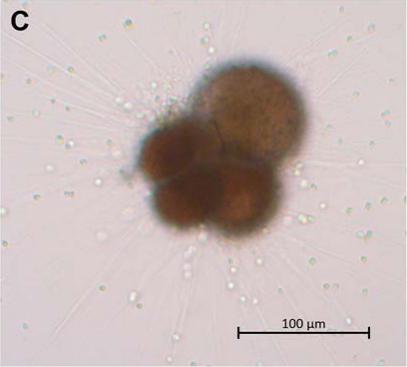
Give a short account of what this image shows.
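A single foraminifer with a shell of several rounded chambers is shown, the chambers increasing in size and filled with dense brown-orange cytoplasm. Numerous fine, straight threads of the rhizopodial network radiate outward from the shell across the pale background. Small round particles lie scattered among the threads.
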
